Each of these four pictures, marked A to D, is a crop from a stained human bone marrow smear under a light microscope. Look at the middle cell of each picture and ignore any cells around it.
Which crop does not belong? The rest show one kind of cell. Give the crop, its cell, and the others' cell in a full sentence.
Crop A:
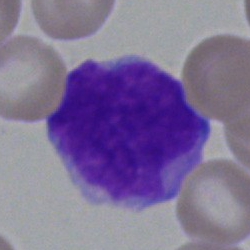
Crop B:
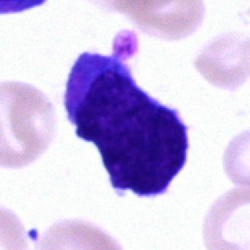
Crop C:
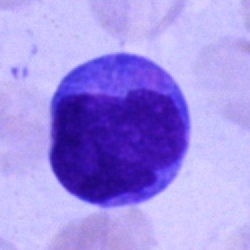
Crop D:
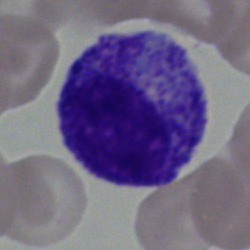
All the crops contain blasts save crop D, where there is a promyelocyte.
